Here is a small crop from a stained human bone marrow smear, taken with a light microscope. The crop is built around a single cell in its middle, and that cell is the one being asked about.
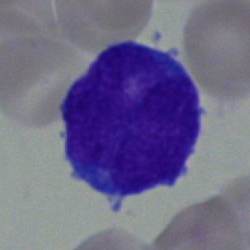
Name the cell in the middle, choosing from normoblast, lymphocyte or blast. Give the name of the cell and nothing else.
blast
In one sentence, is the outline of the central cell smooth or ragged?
Irregular rather than smooth, the cell margin shows ragged areas or projections.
